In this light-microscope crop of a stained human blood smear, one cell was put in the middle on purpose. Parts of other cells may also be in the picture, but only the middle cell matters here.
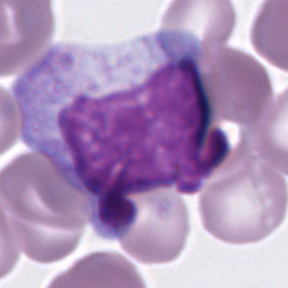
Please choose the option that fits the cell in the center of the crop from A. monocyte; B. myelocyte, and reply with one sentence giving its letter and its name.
That middle cell is a myelocyte, and option B is therefore correct.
